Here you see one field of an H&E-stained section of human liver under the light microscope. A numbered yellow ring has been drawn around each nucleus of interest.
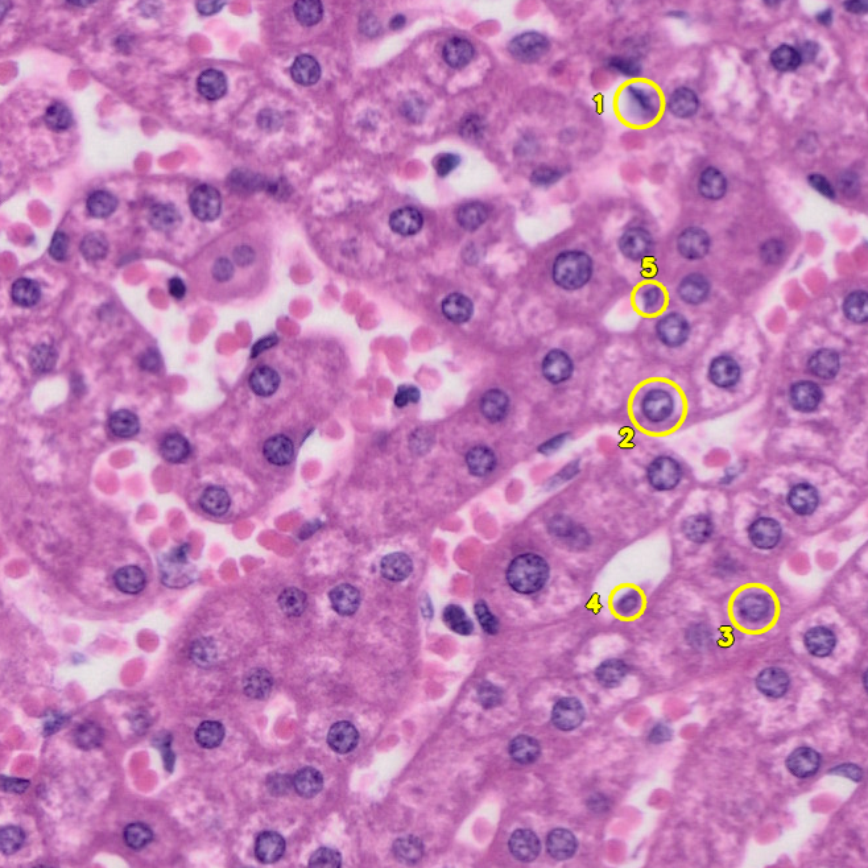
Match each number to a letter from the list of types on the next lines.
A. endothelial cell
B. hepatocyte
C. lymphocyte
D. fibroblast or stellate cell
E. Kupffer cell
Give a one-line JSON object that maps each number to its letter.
{"1": "A", "2": "B", "3": "B", "4": "E", "5": "D"}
